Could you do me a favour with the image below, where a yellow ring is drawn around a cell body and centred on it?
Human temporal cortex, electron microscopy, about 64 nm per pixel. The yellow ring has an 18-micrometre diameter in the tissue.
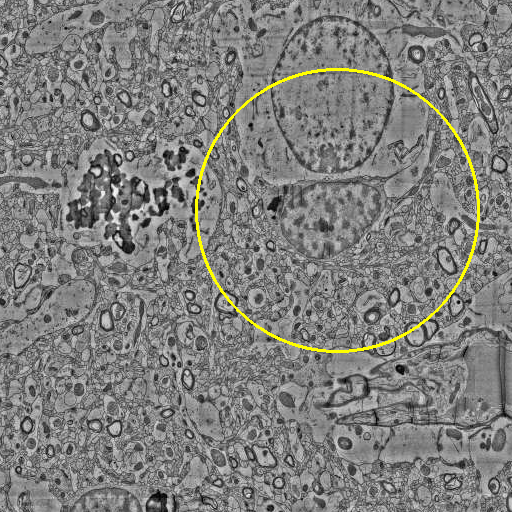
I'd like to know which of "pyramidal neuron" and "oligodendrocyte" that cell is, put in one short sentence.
The cell at the ring's centre is an oligodendrocyte.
